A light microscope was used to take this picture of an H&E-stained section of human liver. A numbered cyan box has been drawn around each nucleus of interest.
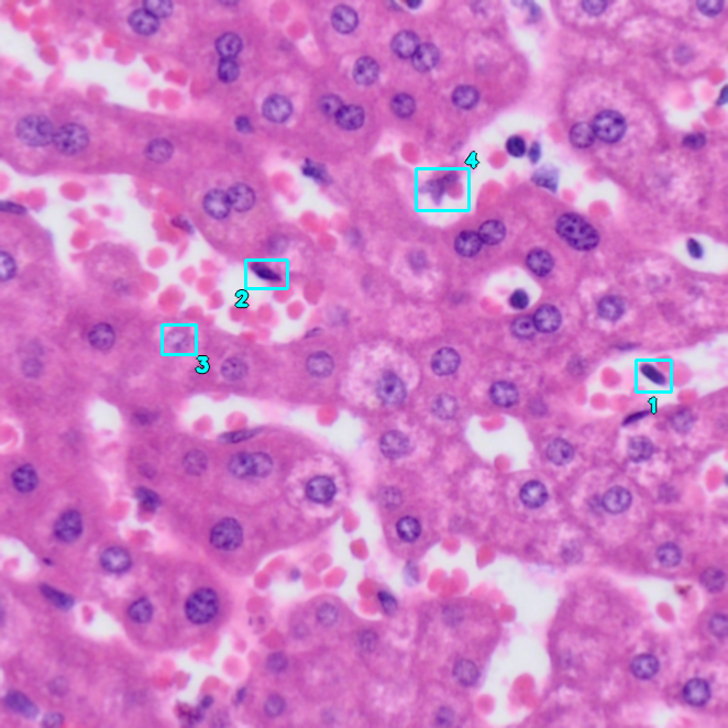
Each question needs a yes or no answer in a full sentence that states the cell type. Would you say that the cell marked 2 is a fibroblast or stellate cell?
Yes, correct, the cell with the number 2 is a fibroblast or stellate cell.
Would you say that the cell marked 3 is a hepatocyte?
Yes, the numbered nucleus 3 is that of a hepatocyte.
